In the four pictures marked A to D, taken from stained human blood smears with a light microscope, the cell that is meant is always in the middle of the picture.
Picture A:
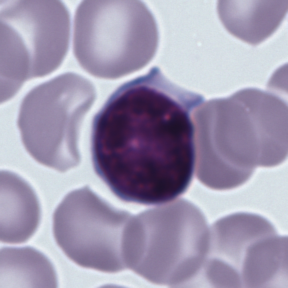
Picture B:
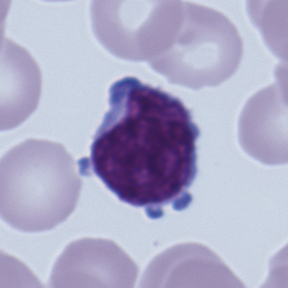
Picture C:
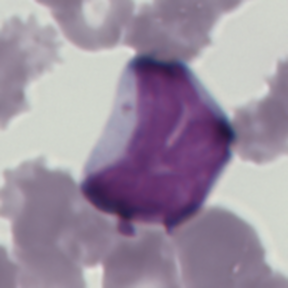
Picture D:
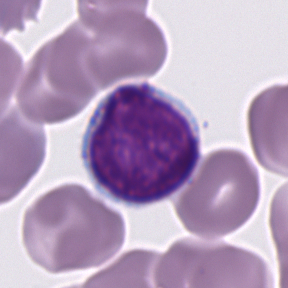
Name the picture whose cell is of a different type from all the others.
C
